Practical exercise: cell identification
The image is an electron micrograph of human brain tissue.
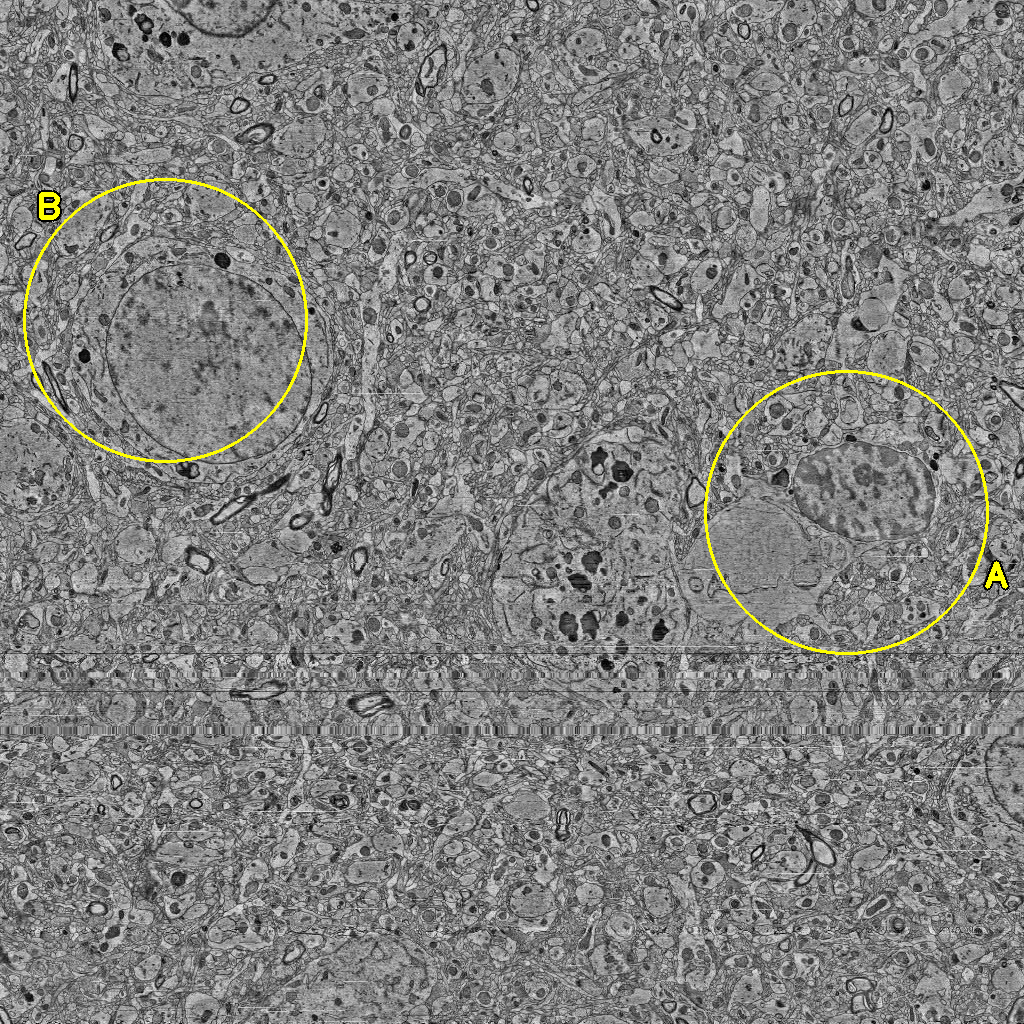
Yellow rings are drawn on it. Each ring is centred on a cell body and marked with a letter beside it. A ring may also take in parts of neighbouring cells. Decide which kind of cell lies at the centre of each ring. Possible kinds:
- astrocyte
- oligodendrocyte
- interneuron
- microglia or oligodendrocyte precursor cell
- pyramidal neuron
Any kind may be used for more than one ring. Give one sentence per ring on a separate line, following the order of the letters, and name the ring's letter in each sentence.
The cell in the middle of ring A is a microglial cell or oligodendrocyte precursor cell.
The cell in the middle of ring B is a pyramidal neuron.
